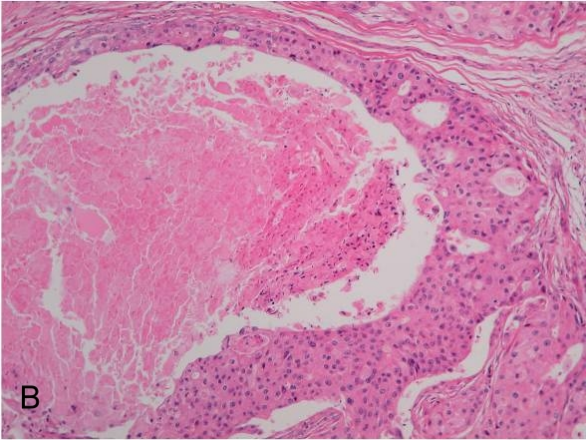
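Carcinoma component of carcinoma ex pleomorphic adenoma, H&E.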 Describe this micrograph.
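A large nest of malignant epithelial cells surrounds a central cavity filled with pink, granular and structureless necrotic debris with scattered dark nuclear fragments. The necrotic mass is partly separated from the viable cell rim by a clear cleft. Thin bands of pink fibrous stroma border the nest at the upper right.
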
